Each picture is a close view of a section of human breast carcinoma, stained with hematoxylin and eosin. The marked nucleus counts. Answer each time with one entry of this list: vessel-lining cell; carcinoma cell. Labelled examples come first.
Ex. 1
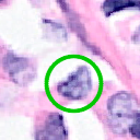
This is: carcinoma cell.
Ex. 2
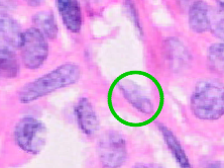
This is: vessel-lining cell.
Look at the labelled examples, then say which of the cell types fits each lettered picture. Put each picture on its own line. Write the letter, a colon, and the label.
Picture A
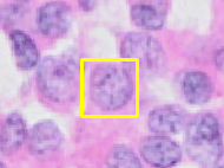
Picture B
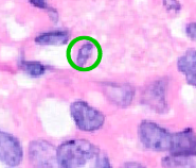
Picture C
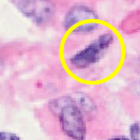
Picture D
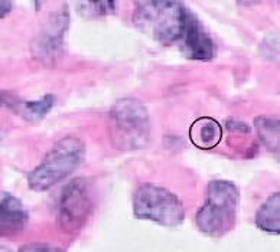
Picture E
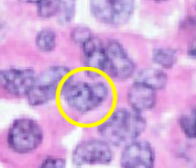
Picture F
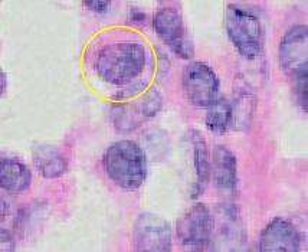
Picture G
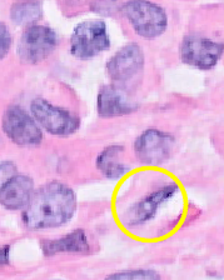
A: carcinoma cell.
B: vessel-lining cell.
C: vessel-lining cell.
D: vessel-lining cell.
E: carcinoma cell.
F: carcinoma cell.
G: vessel-lining cell.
